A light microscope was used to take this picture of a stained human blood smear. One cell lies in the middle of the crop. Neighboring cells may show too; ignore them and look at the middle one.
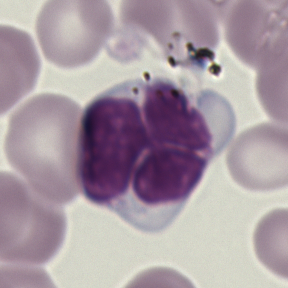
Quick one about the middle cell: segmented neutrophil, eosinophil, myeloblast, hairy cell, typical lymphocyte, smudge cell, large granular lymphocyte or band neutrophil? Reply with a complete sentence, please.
At the center of the crop sits a large granular lymphocyte.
